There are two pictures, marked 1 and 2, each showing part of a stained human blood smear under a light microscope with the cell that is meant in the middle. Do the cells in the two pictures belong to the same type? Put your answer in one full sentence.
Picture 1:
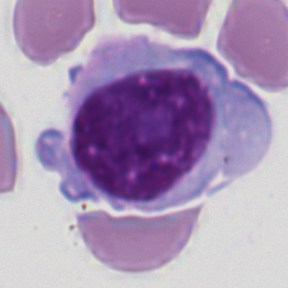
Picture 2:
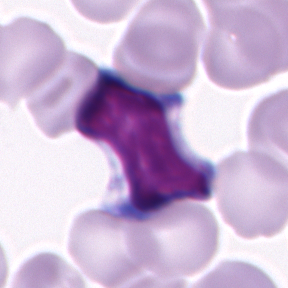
No, picture 1 shows a plasma cell and picture 2 shows a typical lymphocyte.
